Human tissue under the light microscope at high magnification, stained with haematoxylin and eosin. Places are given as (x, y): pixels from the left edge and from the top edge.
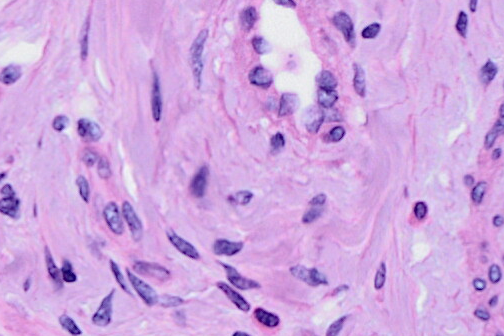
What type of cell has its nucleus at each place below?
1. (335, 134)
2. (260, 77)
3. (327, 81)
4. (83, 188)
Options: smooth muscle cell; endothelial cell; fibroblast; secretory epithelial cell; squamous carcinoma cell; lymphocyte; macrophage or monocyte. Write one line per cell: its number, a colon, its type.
1: smooth muscle cell
2: endothelial cell
3: endothelial cell
4: smooth muscle cell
